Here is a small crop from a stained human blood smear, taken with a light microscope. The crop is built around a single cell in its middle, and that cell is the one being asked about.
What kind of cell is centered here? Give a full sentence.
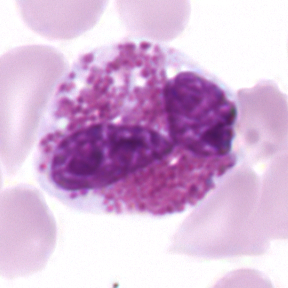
Here the cell in the middle is an eosinophil.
